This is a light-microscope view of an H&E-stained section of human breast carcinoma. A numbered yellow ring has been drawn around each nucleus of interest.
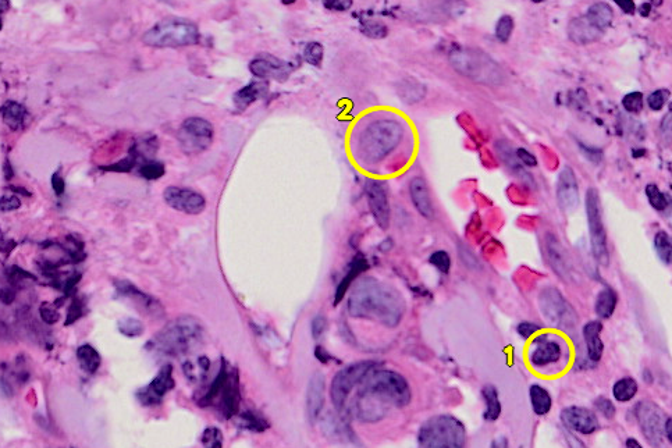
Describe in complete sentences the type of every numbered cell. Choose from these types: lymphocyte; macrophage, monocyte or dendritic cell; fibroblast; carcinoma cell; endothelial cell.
Cell 1 is a lymphocyte and cell 2 is an endothelial cell.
